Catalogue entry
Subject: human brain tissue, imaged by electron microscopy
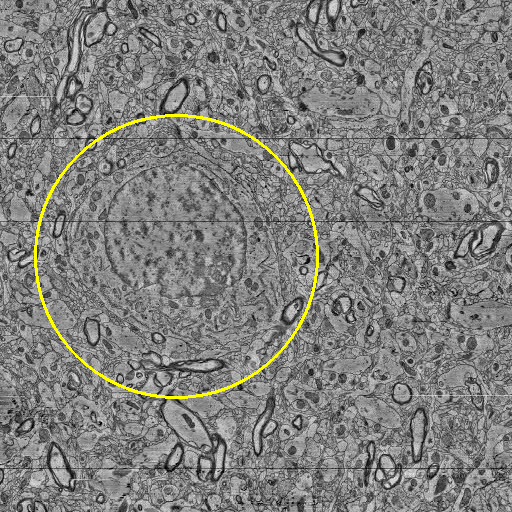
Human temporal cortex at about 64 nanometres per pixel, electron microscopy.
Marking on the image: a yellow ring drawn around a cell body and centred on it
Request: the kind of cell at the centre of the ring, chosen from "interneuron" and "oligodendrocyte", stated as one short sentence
The ring has an interneuron at its centre.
